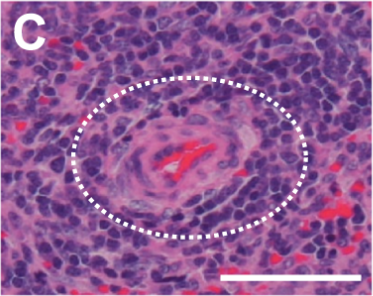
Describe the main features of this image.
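A section of spleen shows white pulp around a central small vessel, encircled by a dotted line. The vessel, with a pink wall and red blood cells in its lumen, is sheathed by densely packed small round cells with dark purple nuclei and little cytoplasm. Outside the circle the tissue is cellular, with scattered bright red blood cells among the nucleated cells.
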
